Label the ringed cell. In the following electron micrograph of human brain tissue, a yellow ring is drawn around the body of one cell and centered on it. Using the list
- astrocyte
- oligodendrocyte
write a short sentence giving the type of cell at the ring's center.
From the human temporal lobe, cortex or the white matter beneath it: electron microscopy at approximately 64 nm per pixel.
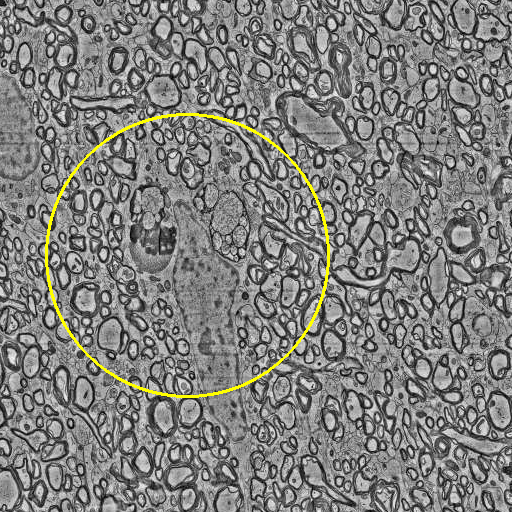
The cell body at the ring's center is that of an astrocyte.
